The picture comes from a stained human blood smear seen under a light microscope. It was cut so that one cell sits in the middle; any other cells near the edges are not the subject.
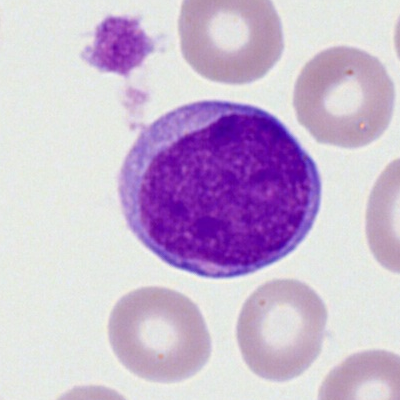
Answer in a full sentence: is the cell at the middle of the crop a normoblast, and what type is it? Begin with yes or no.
No, the central cell is reported as a myeloblast rather than as a normoblast.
